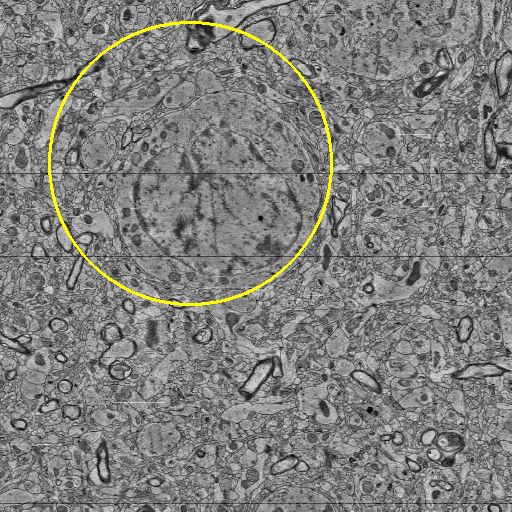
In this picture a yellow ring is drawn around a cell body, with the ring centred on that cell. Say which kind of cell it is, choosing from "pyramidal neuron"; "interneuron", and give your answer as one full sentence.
Here it is an interneuron that sits at the centre of the drawn yellow ring.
